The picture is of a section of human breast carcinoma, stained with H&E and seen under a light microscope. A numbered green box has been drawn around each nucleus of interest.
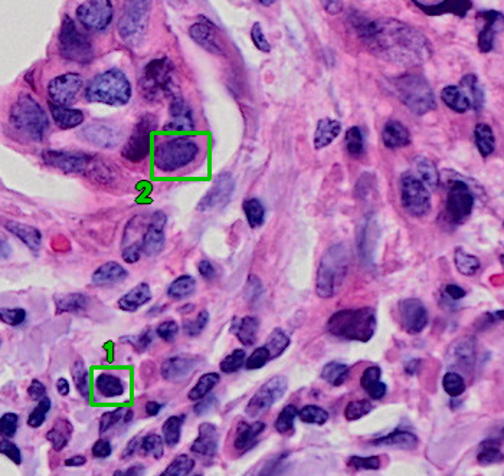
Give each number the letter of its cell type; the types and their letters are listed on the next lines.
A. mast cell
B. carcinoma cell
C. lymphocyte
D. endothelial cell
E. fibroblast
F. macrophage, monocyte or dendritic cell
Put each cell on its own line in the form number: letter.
1: C
2: B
